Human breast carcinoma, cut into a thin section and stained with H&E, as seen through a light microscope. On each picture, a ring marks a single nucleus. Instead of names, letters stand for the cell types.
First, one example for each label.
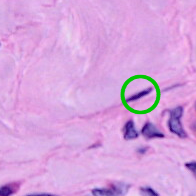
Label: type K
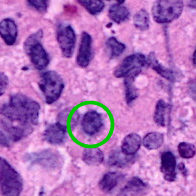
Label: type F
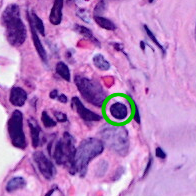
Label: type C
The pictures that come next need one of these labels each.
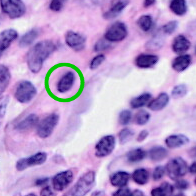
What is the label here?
type C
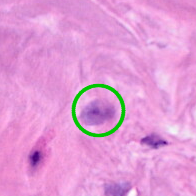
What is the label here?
type K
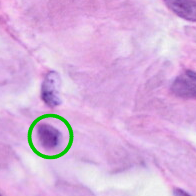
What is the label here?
type K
